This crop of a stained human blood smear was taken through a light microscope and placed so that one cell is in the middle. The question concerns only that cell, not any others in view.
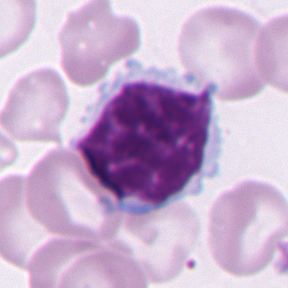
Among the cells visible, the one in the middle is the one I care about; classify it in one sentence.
The central cell in this smear crop is a typical lymphocyte.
